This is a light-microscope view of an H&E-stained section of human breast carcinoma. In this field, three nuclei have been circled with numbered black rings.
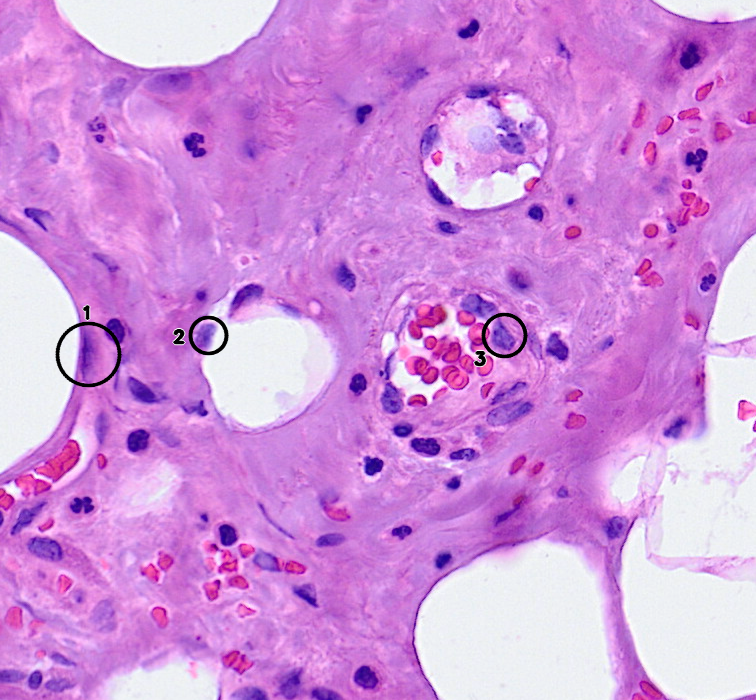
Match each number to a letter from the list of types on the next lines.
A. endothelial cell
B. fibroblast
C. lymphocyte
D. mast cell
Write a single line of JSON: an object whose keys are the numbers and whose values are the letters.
{"1": "B", "2": "B", "3": "A"}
